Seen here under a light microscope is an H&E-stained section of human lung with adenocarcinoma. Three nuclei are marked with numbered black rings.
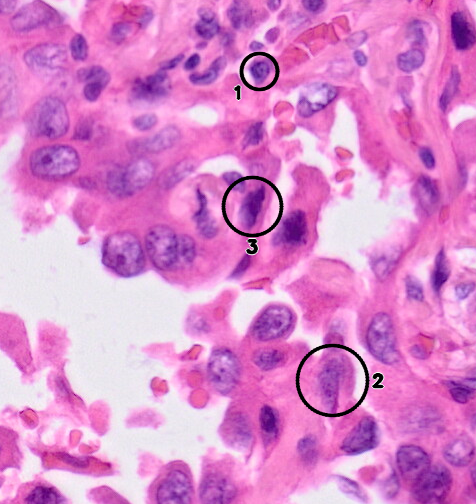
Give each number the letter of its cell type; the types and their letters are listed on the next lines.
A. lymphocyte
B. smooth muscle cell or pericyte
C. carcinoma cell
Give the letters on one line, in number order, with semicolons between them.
A; C; C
